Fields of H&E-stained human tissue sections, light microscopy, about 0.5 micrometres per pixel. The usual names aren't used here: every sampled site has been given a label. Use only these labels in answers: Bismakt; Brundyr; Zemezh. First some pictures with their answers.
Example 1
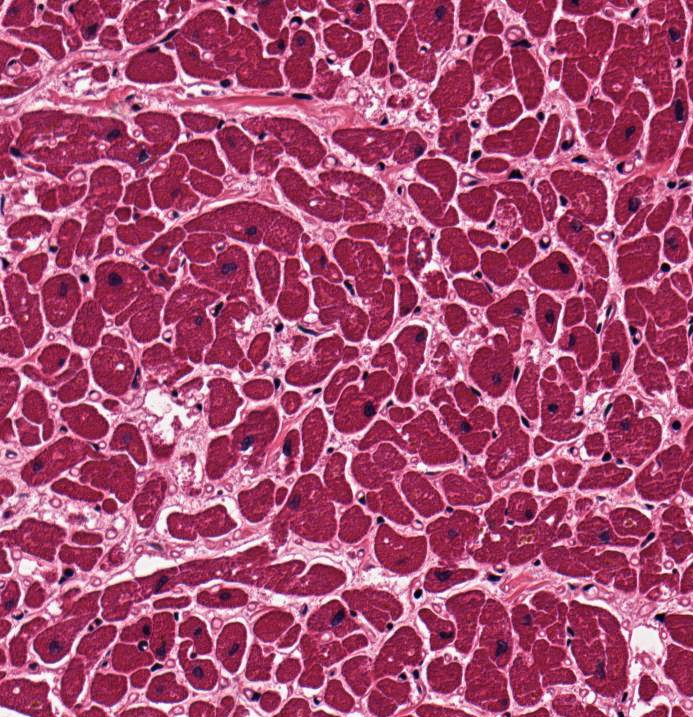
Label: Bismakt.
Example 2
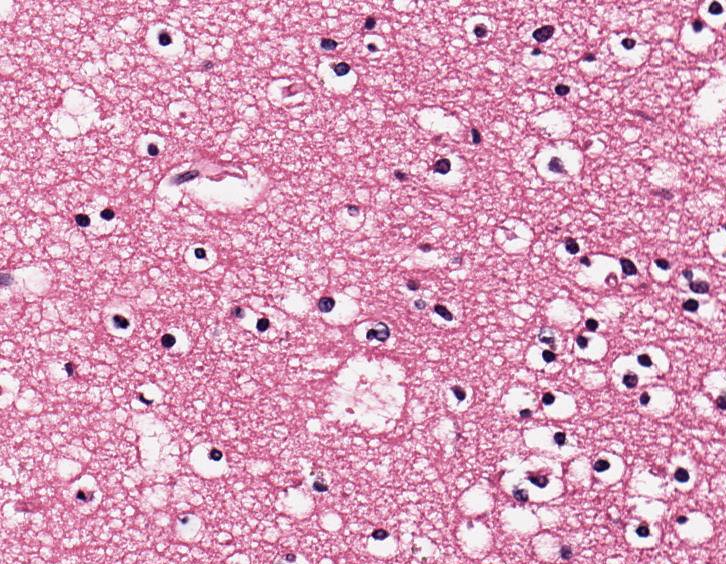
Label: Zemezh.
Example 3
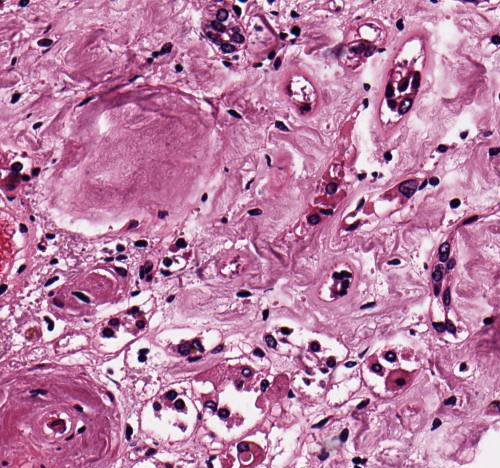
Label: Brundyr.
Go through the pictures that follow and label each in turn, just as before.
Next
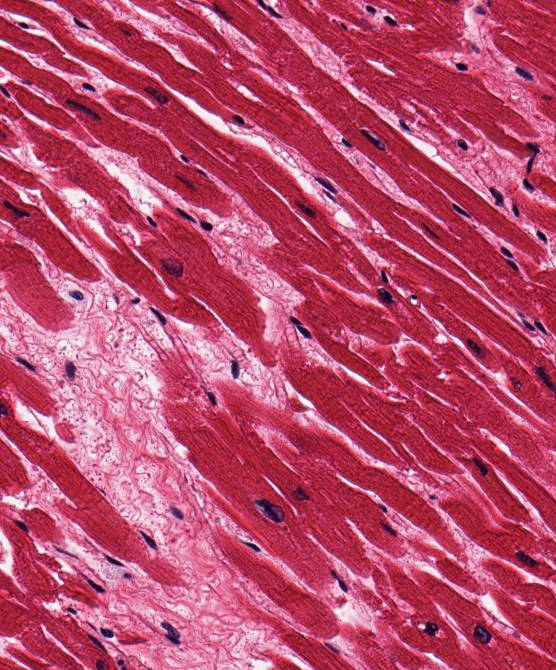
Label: Bismakt.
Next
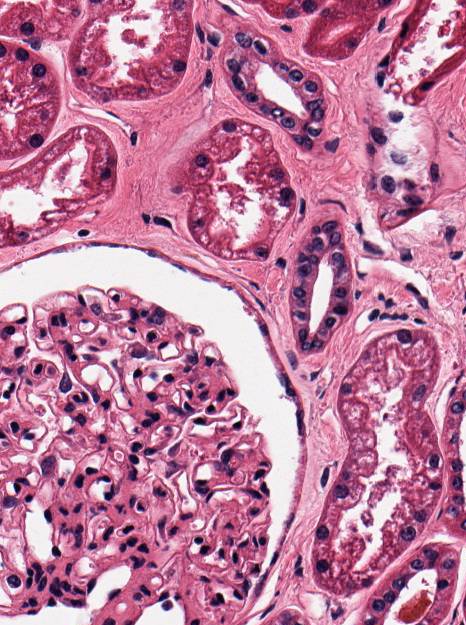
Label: Brundyr.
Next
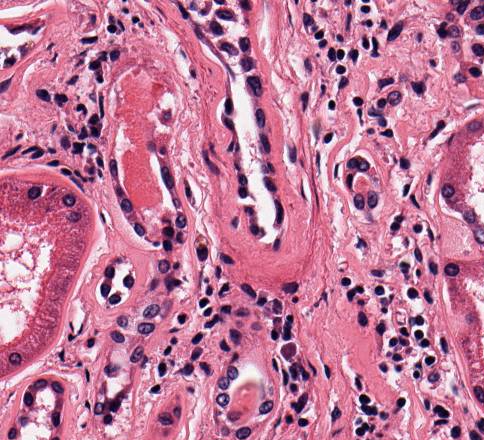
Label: Brundyr.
